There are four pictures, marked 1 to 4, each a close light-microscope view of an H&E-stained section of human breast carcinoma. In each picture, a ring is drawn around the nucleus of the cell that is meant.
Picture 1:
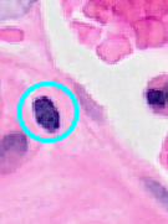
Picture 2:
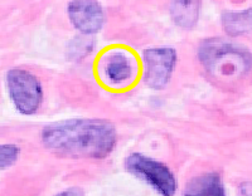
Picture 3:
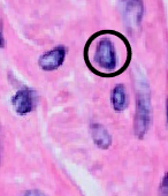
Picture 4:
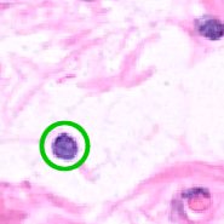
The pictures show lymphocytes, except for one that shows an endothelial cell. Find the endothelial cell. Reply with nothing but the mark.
3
